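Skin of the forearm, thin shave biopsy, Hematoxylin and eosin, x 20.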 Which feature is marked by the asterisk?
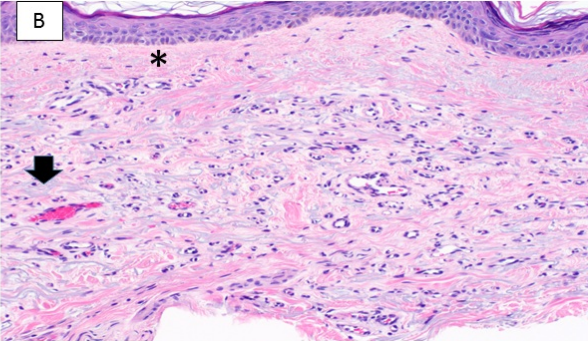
Grenz zone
